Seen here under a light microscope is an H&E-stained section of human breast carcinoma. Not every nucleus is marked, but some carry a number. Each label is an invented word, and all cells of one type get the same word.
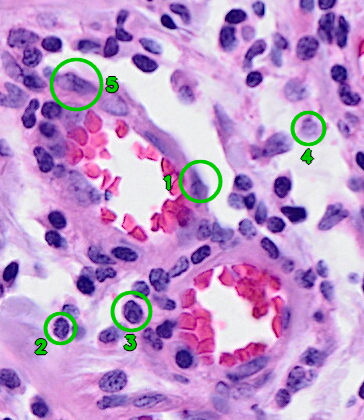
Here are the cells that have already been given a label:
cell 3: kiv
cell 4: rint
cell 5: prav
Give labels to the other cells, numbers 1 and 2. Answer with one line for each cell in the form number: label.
1: prav
2: kiv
